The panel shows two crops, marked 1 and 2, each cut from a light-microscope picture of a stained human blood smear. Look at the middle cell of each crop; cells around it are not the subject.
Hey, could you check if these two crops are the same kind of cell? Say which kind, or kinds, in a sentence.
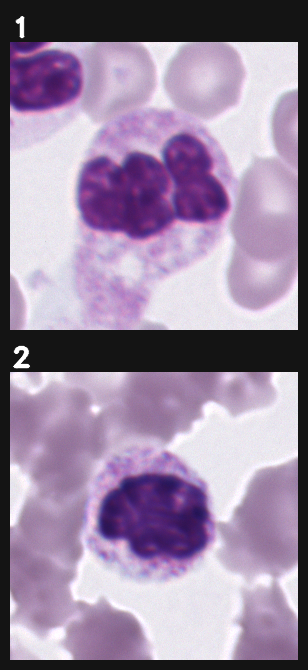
Yes, the central cells of both crops are neutrophils.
